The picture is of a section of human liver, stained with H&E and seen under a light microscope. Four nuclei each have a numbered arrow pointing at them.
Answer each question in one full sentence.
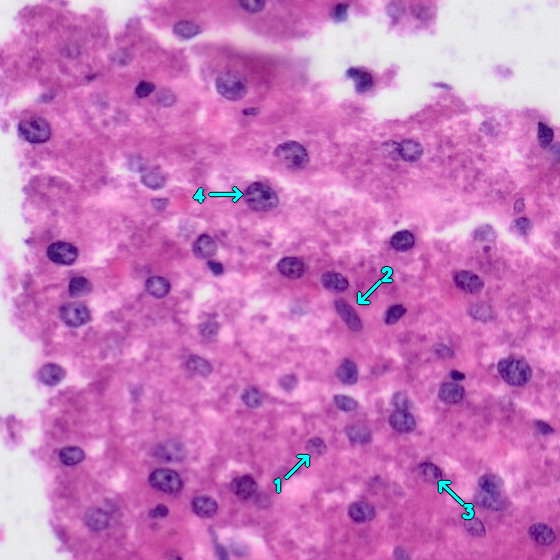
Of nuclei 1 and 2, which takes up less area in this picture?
Nucleus 1 covers less area, with nucleus 2 about 1.5 times as large.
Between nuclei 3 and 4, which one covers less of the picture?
Nucleus 3 is the smaller one; nucleus 4 covers about 2 times its area.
